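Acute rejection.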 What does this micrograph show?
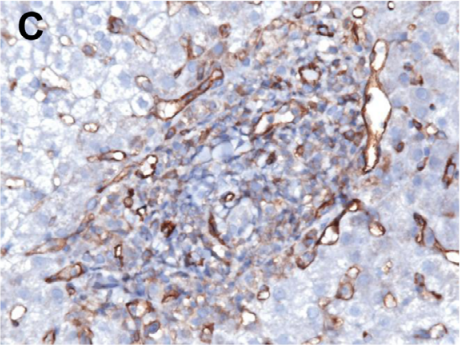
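Liver tissue in which large pale polygonal hepatocytes surround a dense central focus of small infiltrating mononuclear cells with faint brown membrane staining. Around and within the focus, capillaries and a larger vessel are sharply lined by strongly brown-stained endothelial cells.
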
